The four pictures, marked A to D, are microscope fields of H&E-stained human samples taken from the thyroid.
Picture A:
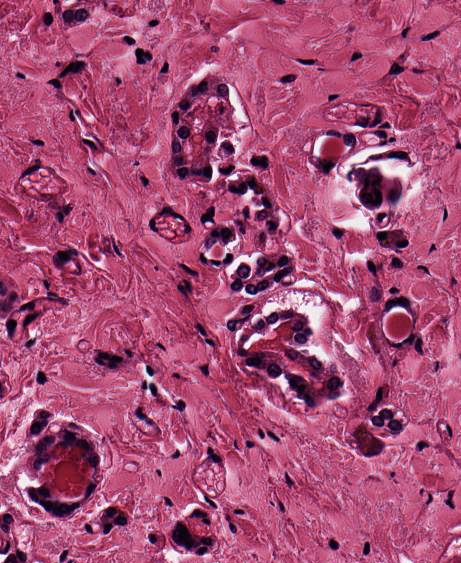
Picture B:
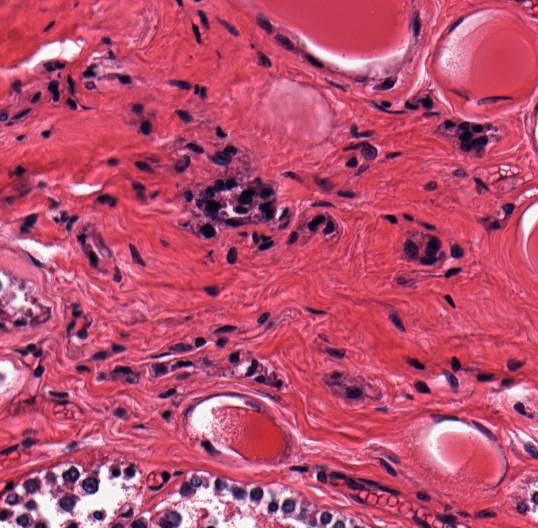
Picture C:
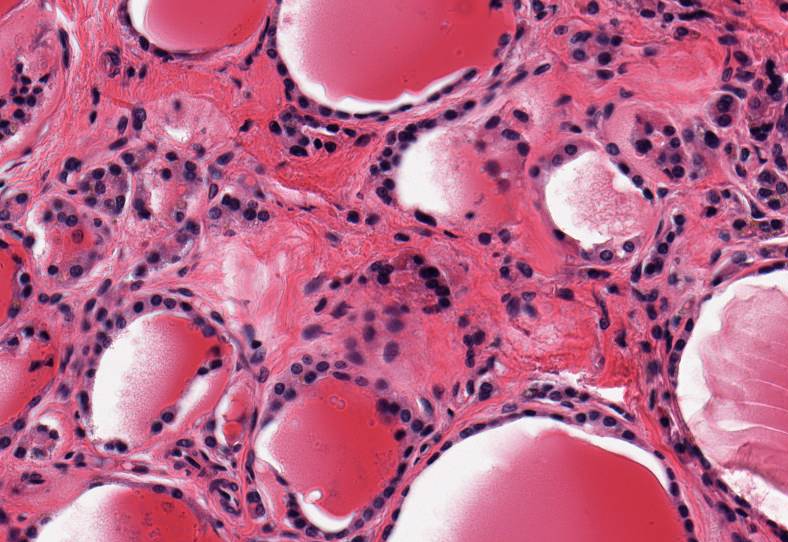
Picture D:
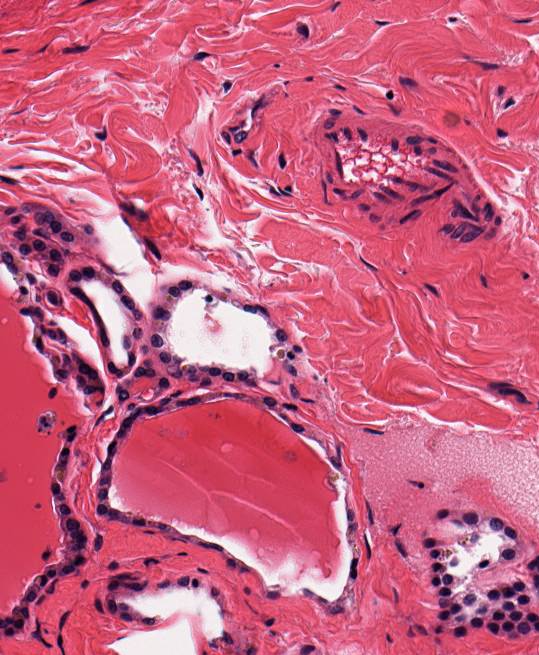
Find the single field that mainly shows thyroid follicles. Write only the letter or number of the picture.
C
